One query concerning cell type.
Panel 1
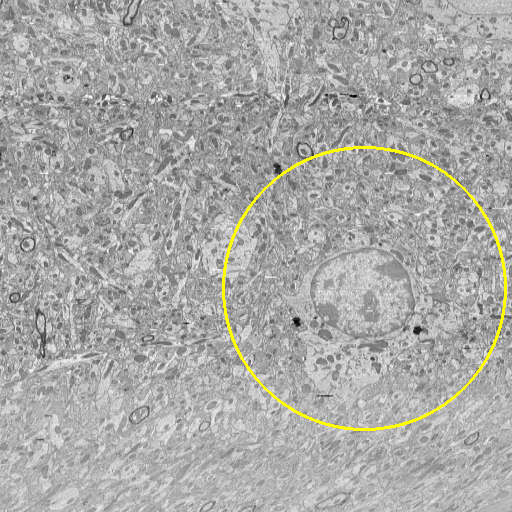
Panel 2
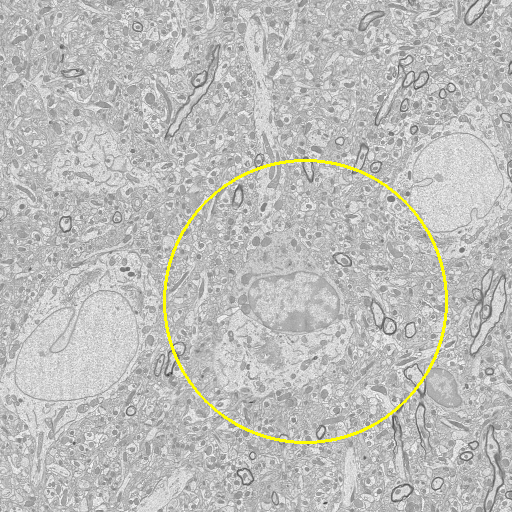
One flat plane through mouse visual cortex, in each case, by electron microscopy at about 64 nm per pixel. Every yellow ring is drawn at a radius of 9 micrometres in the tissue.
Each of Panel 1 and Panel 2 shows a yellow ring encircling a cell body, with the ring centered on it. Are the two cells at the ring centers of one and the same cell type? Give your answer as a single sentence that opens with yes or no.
Yes, the cell centered in Panel 1 and the one in Panel 2 share a type.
